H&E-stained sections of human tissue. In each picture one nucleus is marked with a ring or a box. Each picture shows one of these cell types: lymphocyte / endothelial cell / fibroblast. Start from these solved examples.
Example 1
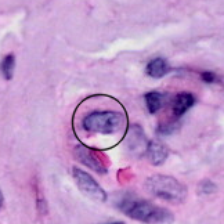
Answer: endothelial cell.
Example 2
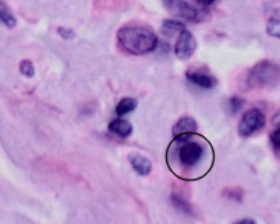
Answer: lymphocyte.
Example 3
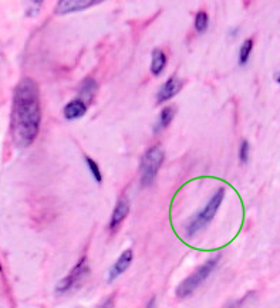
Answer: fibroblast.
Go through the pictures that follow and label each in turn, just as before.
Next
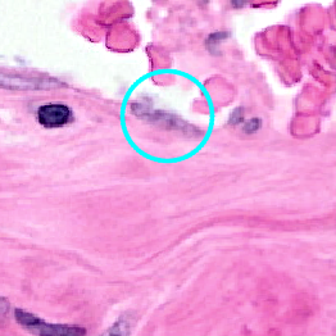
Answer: endothelial cell.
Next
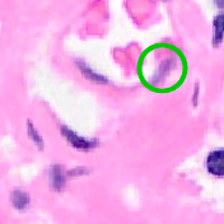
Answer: endothelial cell.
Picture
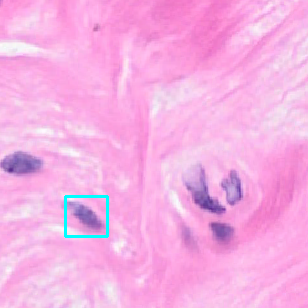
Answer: fibroblast.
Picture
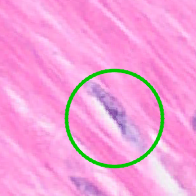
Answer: fibroblast.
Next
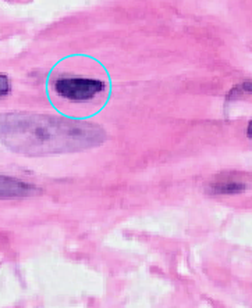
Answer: lymphocyte.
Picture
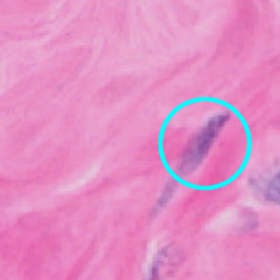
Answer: fibroblast.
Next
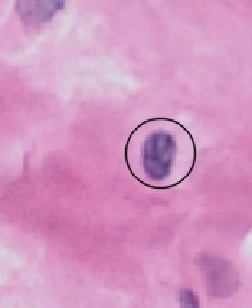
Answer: lymphocyte.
